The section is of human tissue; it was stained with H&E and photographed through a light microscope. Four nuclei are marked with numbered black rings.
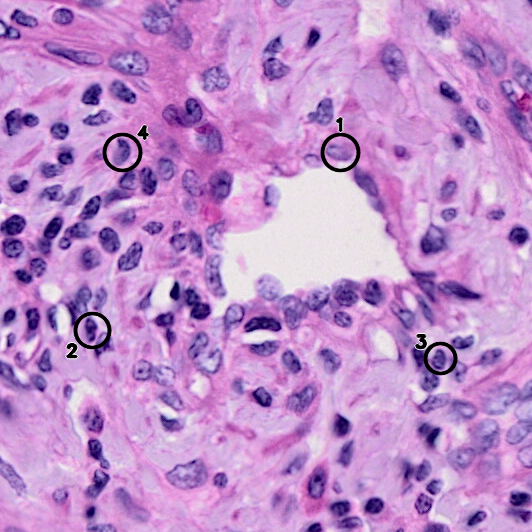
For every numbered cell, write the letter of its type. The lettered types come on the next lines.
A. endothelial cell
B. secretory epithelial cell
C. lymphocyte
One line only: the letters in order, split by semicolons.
A; C; C; C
